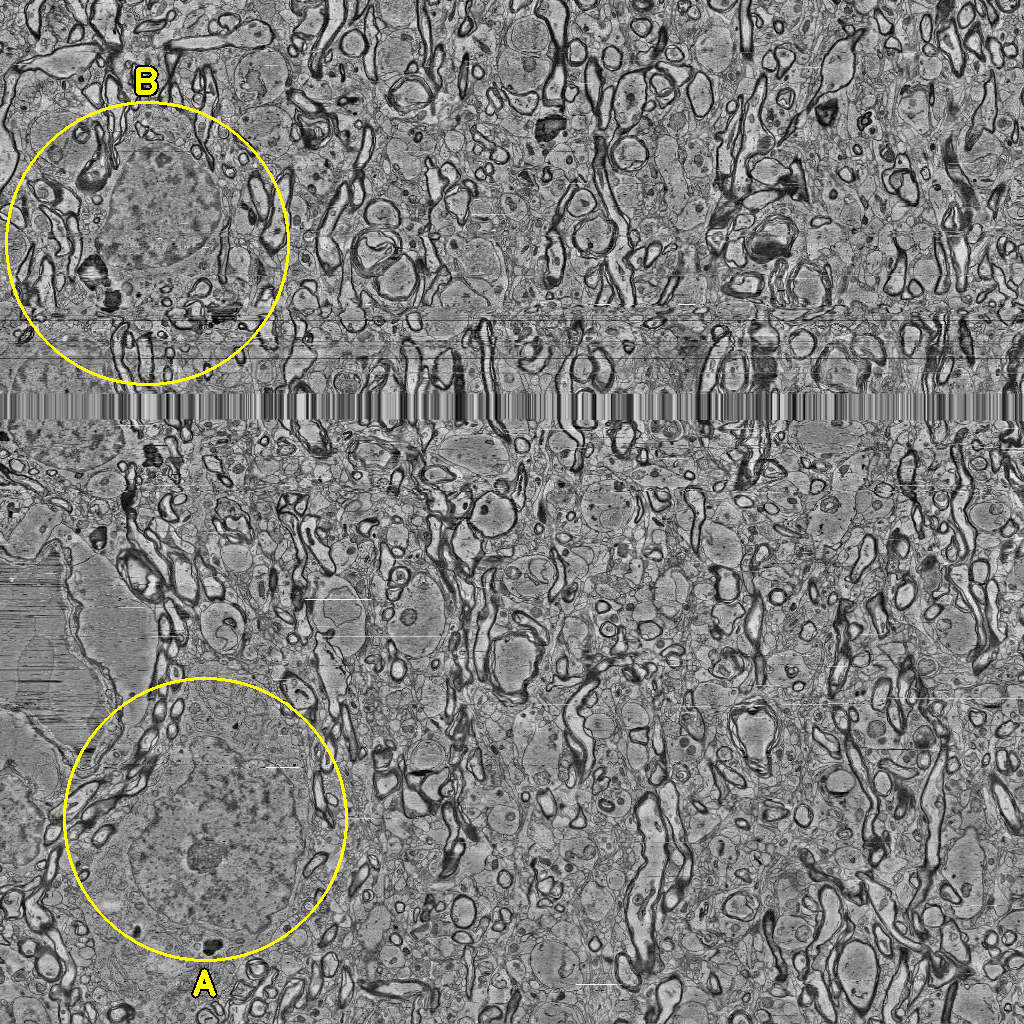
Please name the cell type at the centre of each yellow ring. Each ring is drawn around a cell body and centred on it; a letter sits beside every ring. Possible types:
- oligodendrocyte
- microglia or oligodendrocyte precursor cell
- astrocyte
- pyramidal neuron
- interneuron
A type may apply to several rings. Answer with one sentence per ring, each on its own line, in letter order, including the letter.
Ring A is centred on the cell body of an interneuron.
Ring B is centred on the cell body of an oligodendrocyte.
